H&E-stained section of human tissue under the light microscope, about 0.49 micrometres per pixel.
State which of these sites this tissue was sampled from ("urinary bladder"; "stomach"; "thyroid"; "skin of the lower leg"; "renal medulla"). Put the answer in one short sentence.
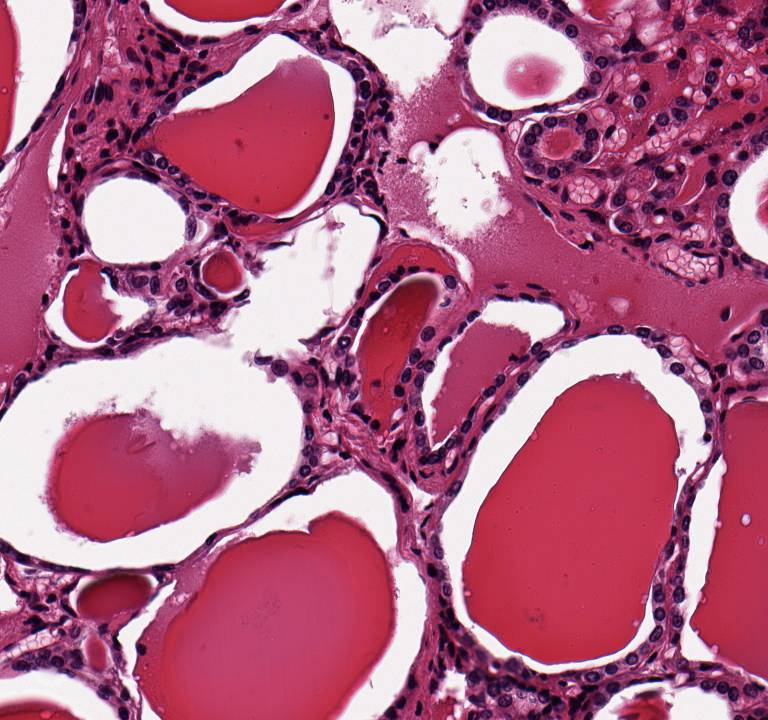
The site this tissue was sampled from is the thyroid.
